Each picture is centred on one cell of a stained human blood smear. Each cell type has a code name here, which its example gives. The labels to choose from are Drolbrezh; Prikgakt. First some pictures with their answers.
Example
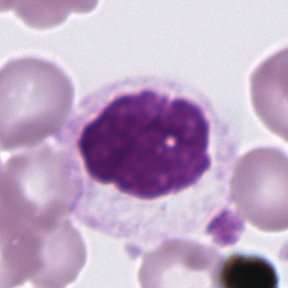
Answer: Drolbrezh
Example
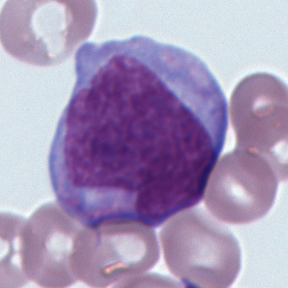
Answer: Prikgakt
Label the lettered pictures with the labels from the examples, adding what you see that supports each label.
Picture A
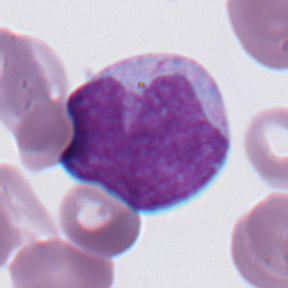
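Answer: Prikgakt. The cytoplasm forms a narrow rim that is widest along the upper side of the cell.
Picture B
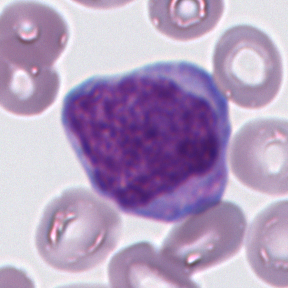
Answer: Prikgakt. The cytoplasm forms a narrow rim that is wider on the right side than on the left.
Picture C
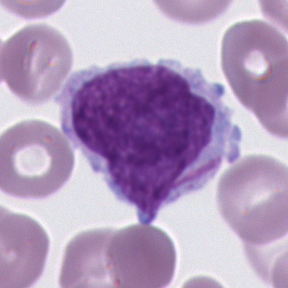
Answer: Prikgakt. The cytoplasm forms a narrow rim that is widest on the right side.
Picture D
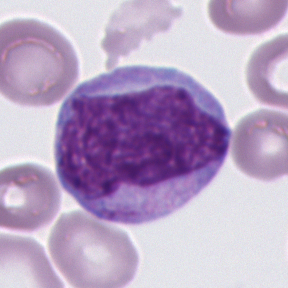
Answer: Prikgakt. The nucleus is a single unlobed mass.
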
